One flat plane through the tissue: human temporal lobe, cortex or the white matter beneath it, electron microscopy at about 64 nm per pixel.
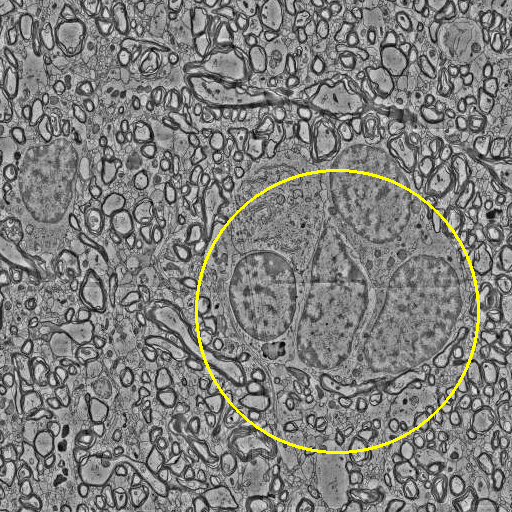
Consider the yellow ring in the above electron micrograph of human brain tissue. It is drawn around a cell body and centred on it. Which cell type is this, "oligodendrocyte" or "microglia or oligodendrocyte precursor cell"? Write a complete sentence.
The cell in question is a microglial cell or oligodendrocyte precursor cell.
